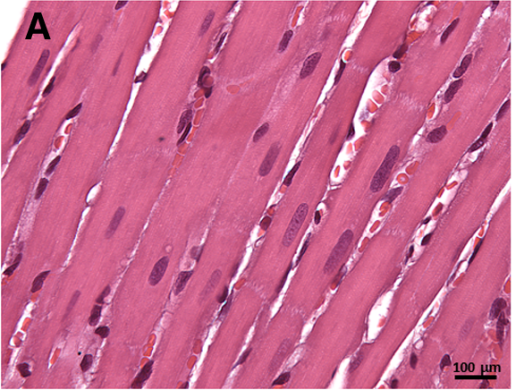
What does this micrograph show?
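This is heart muscle cut along the fibers, with long cardiomyocytes lying tightly side by side and staining evenly pink. Each fiber holds oval, pale purple nuclei near its centre, and narrow capillaries filled with red blood cells run in the thin spaces between the fibers.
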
